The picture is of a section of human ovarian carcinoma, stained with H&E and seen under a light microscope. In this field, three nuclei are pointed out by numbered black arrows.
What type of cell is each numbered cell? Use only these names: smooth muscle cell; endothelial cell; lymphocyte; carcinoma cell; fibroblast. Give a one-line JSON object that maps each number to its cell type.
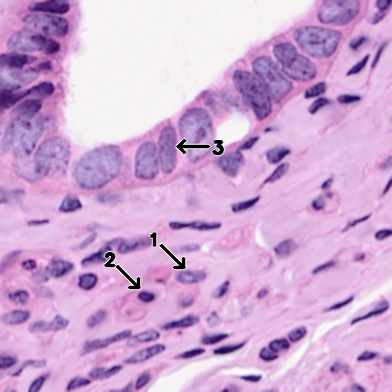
{"1": "smooth muscle cell", "2": "smooth muscle cell", "3": "carcinoma cell"}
